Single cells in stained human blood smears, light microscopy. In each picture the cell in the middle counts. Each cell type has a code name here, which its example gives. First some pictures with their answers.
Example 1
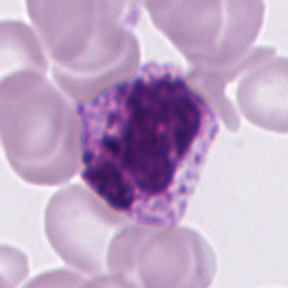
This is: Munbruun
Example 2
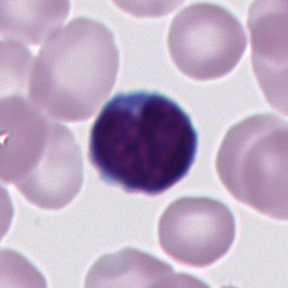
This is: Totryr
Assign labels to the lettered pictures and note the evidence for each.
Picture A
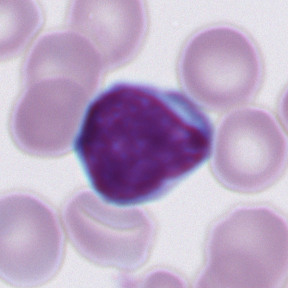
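Totryr. Reason: The nucleus is a single unlobed mass.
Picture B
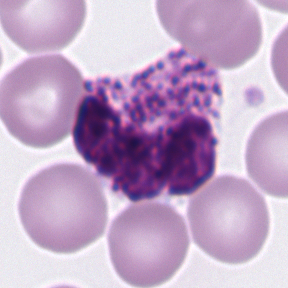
Munbruun. Reason: Pale pinkish cytoplasm shows between the separate granules.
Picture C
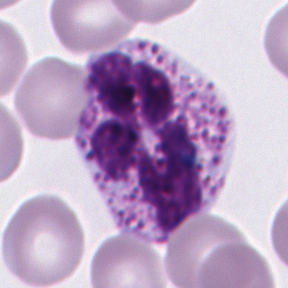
Munbruun. Reason: The nucleus is divided into several separate lobes.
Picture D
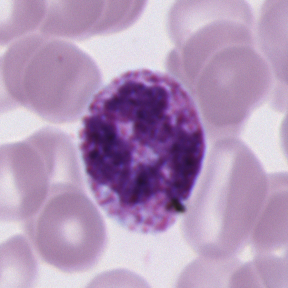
Munbruun. Reason: Coarse reddish-purple granules are scattered through the cytoplasm.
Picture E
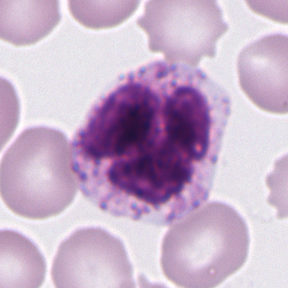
Munbruun. Reason: The nucleus is divided into several lobes.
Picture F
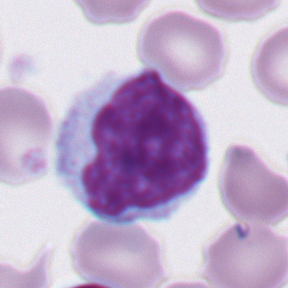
Totryr. Reason: The cytoplasm holds only fine, faint lilac granules.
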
